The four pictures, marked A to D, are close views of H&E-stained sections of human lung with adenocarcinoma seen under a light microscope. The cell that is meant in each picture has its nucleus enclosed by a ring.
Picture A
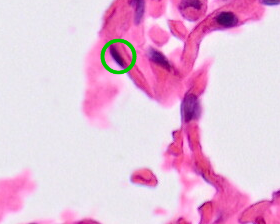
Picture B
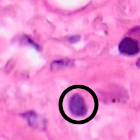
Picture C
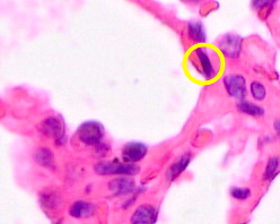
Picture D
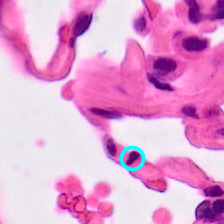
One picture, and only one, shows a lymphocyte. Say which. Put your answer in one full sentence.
Picture B shows the lymphocyte.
